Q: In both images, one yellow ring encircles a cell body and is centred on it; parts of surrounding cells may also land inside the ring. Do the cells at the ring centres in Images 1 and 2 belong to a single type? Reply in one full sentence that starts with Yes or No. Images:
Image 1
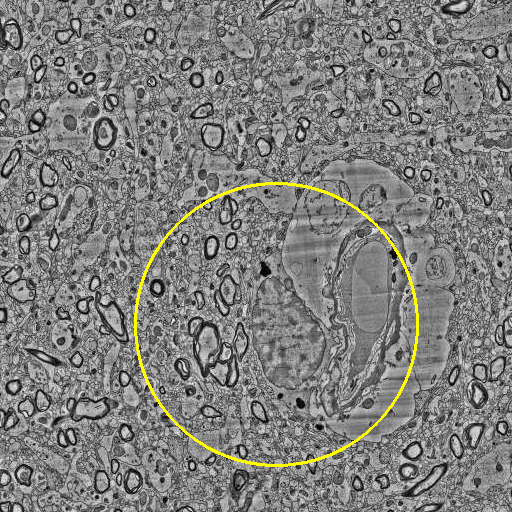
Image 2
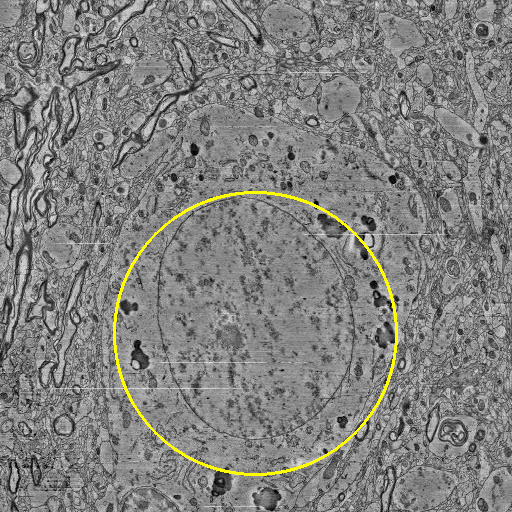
No, the cells at the ring centres in Images 1 and 2 are of two types.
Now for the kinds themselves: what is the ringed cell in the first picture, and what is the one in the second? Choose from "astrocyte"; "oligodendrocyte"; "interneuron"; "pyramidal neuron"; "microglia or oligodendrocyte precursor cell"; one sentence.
Here the first cell is an oligodendrocyte and the second cell is a pyramidal neuron.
